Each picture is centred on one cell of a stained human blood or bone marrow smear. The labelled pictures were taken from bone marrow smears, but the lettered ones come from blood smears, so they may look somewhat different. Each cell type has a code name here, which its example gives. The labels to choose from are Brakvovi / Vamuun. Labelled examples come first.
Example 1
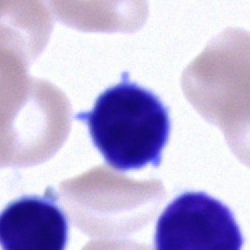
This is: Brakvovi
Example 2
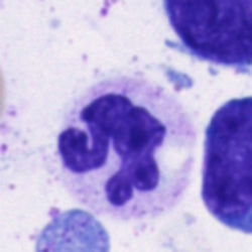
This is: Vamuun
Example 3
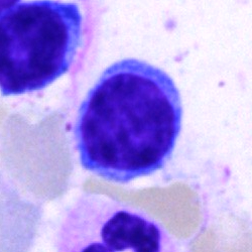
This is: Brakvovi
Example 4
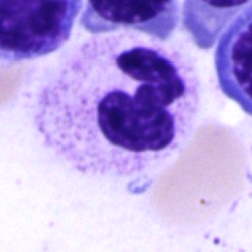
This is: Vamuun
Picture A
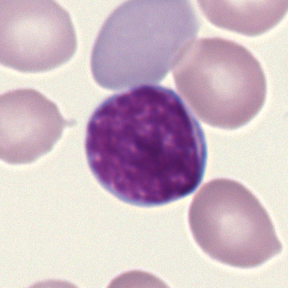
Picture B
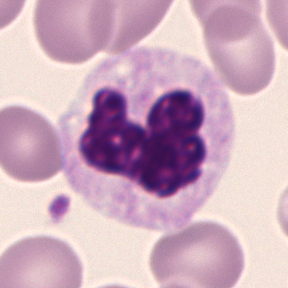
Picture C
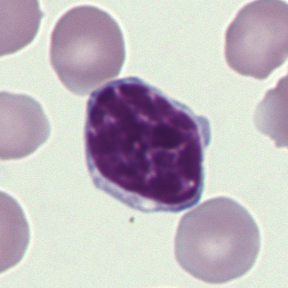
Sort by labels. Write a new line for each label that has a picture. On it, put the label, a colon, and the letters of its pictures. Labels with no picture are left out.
Brakvovi: A, C
Vamuun: B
